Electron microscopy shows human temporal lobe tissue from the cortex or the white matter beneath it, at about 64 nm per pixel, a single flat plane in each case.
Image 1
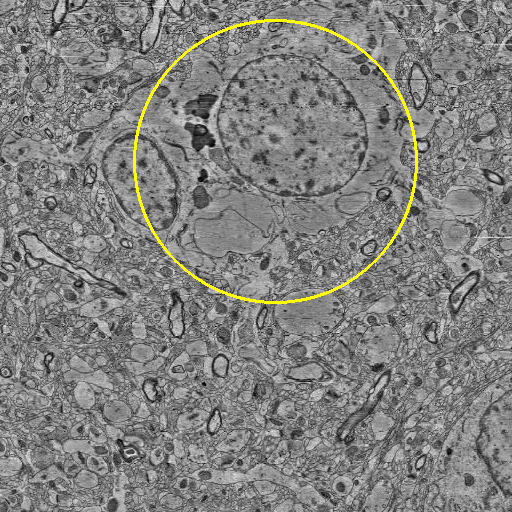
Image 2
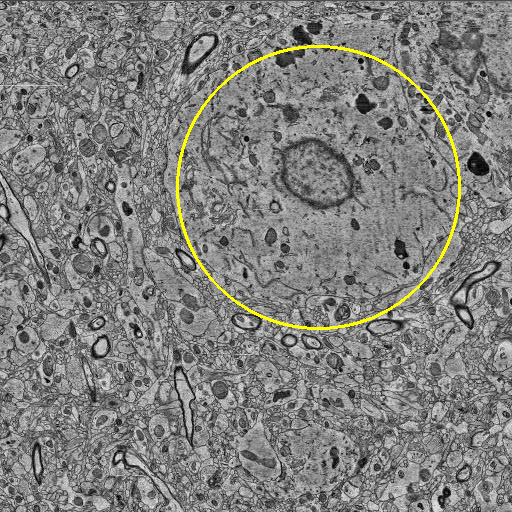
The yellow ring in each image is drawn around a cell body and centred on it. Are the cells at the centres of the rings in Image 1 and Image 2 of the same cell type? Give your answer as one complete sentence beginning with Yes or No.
No, the two cells are of two separate types.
